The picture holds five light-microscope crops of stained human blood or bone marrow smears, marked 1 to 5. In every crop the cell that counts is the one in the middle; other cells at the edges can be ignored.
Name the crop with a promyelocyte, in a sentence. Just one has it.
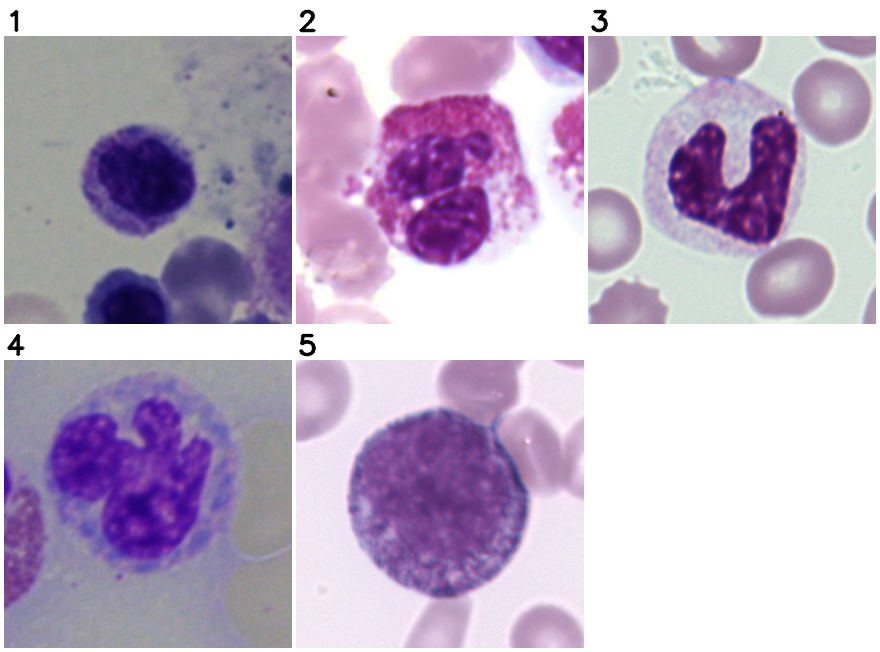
Crop 5, and no other, shows a promyelocyte.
